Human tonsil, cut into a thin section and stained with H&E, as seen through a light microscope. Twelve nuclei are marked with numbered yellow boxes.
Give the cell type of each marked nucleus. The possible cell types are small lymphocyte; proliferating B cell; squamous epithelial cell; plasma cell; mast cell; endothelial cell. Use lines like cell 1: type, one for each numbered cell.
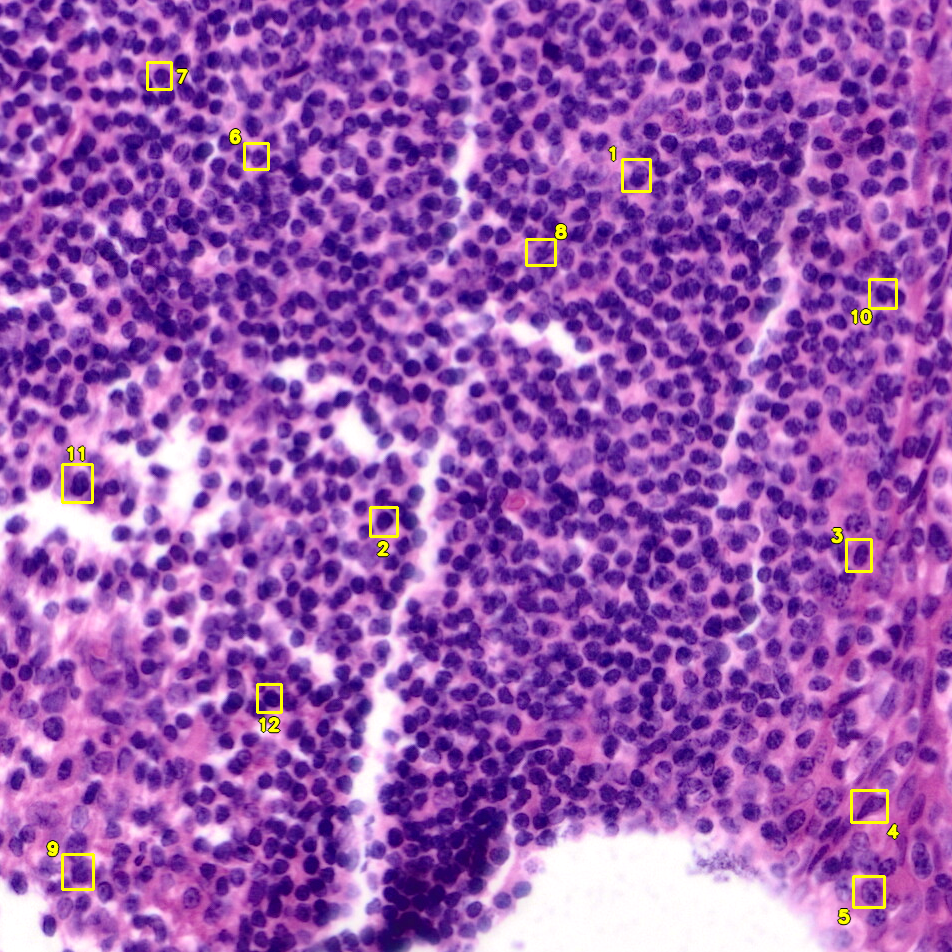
cell 1: small lymphocyte
cell 2: small lymphocyte
cell 3: plasma cell
cell 4: squamous epithelial cell
cell 5: plasma cell
cell 6: small lymphocyte
cell 7: small lymphocyte
cell 8: small lymphocyte
cell 9: proliferating B cell
cell 10: small lymphocyte
cell 11: proliferating B cell
cell 12: small lymphocyte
